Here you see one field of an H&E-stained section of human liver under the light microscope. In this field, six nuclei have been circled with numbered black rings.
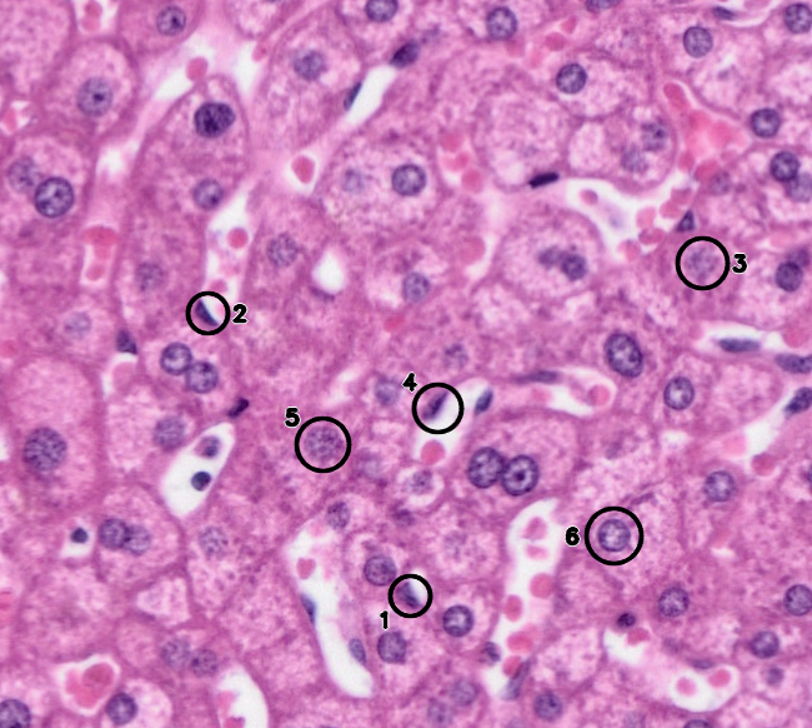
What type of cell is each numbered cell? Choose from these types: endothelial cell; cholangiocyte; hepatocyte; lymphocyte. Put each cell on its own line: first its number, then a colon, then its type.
1: endothelial cell
2: endothelial cell
3: hepatocyte
4: endothelial cell
5: hepatocyte
6: hepatocyte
